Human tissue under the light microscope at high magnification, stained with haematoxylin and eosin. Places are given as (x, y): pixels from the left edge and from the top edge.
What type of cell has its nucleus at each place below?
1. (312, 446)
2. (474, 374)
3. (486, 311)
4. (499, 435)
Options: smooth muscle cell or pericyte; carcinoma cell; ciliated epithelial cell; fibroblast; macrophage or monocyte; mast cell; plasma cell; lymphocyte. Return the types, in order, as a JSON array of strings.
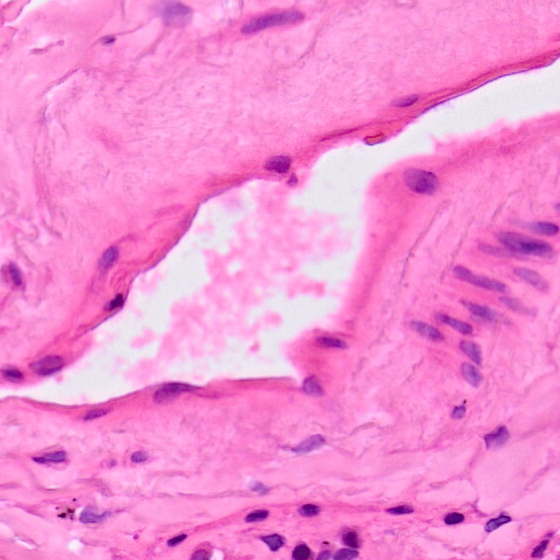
["fibroblast", "smooth muscle cell or pericyte", "smooth muscle cell or pericyte", "fibroblast"]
